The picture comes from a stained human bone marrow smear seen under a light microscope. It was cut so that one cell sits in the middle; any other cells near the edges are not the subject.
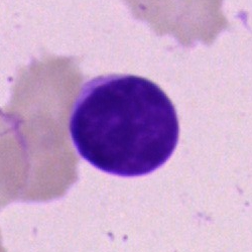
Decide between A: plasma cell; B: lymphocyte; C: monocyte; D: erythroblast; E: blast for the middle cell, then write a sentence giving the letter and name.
Option B is correct in naming the middle cell a lymphocyte.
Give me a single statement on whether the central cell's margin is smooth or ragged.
A smooth, projection-free outline is what this cell has.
